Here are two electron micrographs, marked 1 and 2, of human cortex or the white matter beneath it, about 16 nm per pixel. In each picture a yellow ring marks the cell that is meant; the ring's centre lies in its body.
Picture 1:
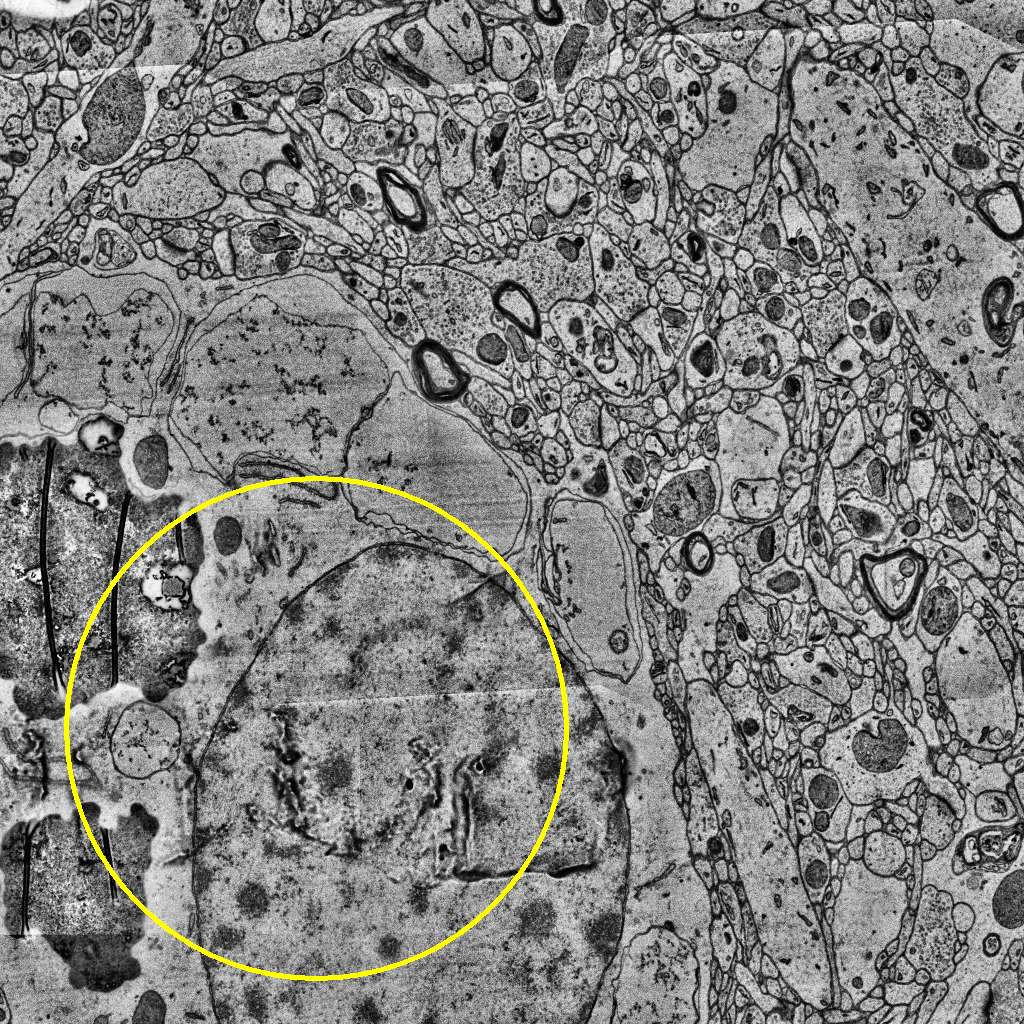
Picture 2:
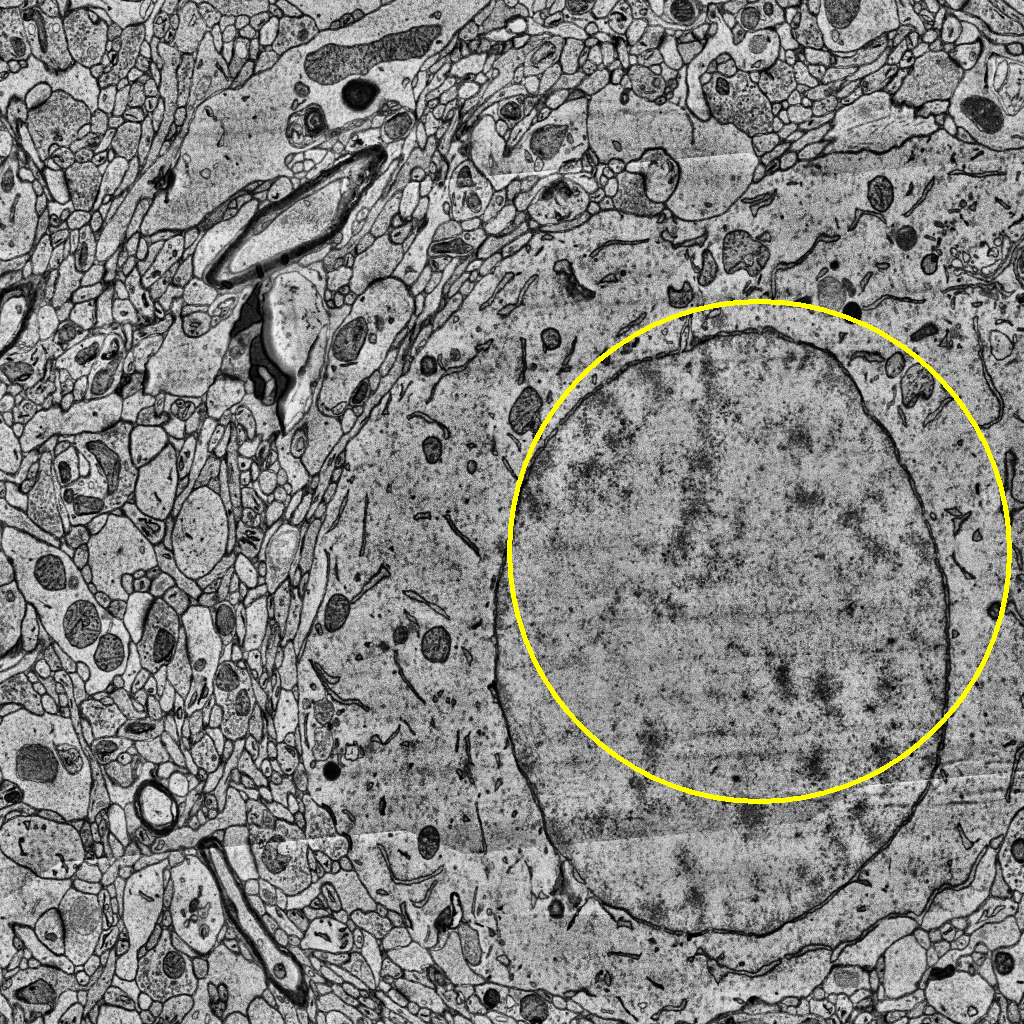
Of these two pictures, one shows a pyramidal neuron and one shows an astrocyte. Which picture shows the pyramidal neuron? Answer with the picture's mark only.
2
